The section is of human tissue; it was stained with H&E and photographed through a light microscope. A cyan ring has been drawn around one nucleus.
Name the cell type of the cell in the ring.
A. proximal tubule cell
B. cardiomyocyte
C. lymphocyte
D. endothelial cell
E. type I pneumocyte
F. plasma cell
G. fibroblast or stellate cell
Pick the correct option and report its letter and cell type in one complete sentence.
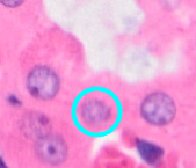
Here the correct option is A, since the cell in the ring is a proximal tubule cell.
